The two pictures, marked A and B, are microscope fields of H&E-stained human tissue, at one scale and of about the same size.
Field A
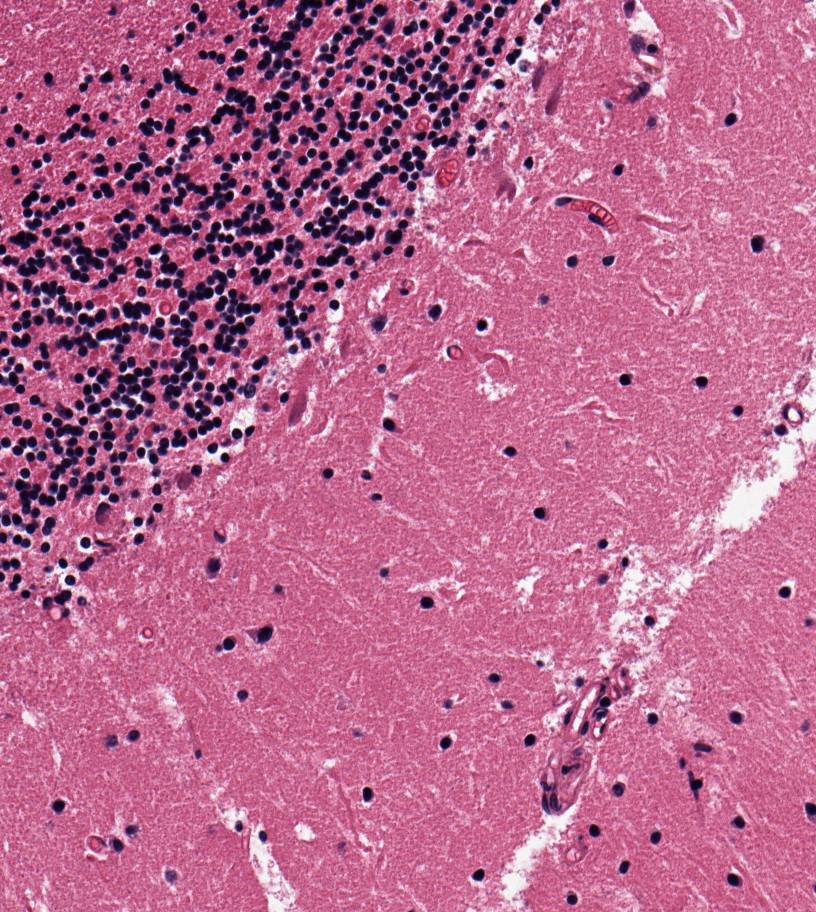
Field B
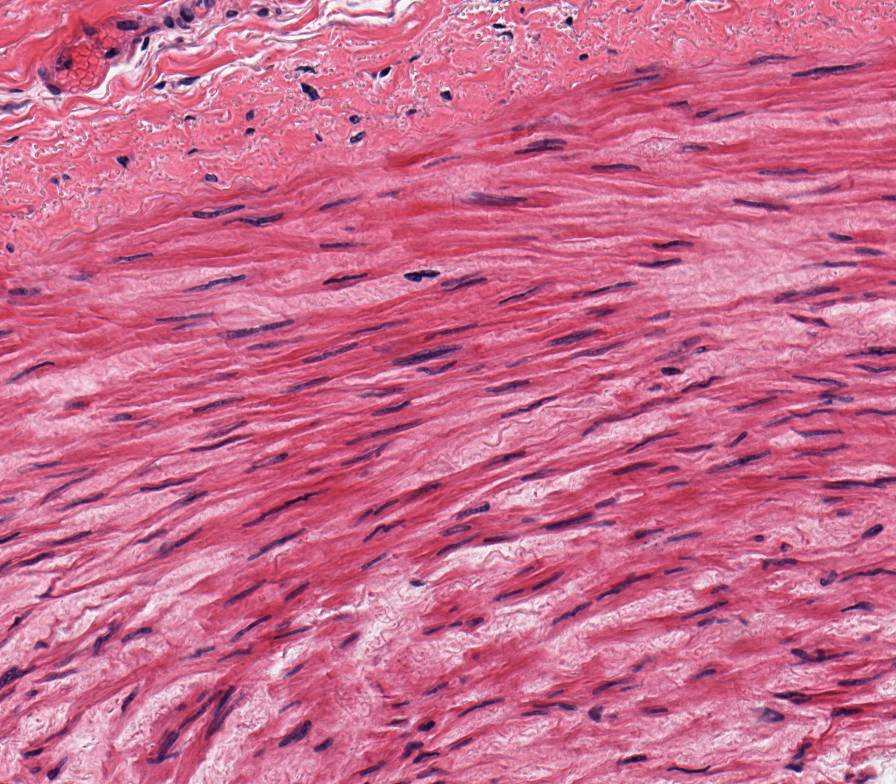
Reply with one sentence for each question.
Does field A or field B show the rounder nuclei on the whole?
On the whole the nuclei of field A are rounder than those of field B.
